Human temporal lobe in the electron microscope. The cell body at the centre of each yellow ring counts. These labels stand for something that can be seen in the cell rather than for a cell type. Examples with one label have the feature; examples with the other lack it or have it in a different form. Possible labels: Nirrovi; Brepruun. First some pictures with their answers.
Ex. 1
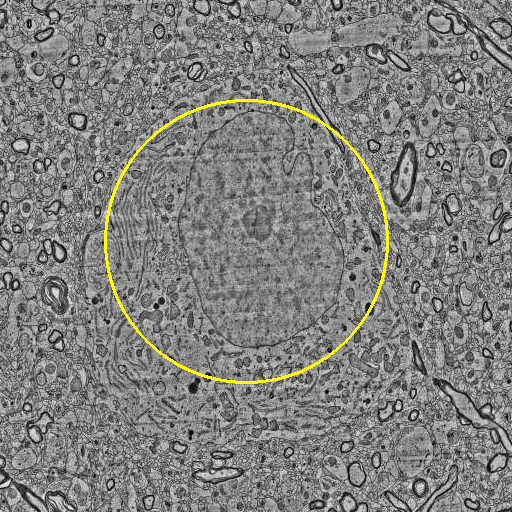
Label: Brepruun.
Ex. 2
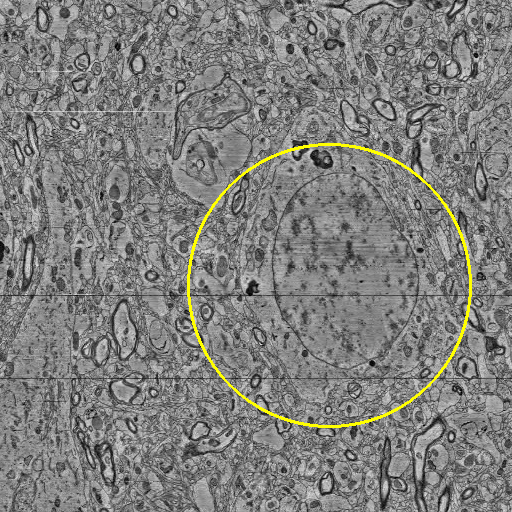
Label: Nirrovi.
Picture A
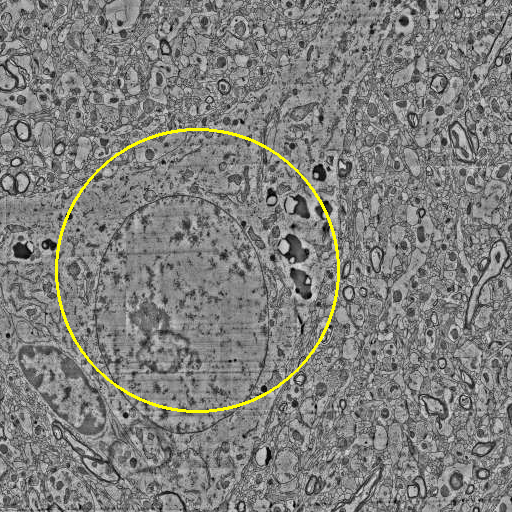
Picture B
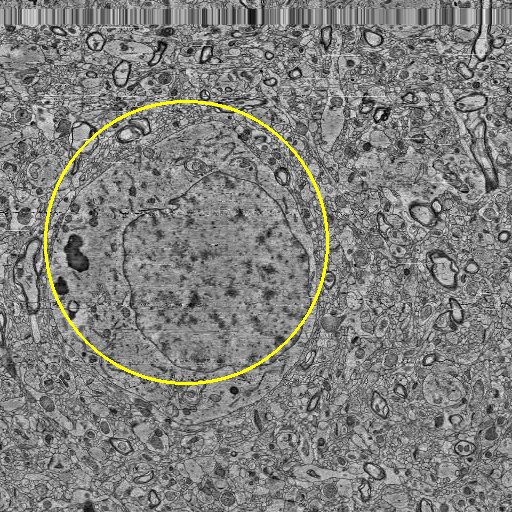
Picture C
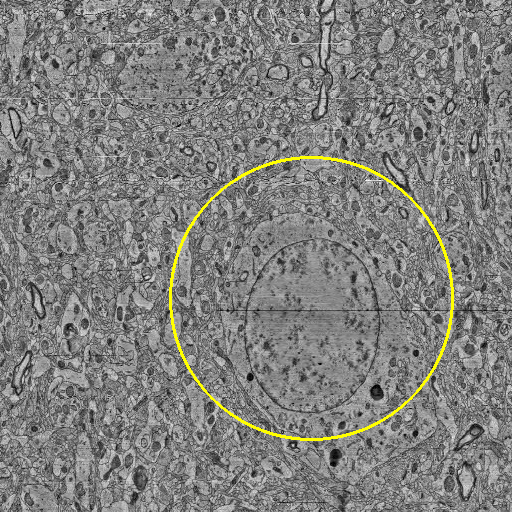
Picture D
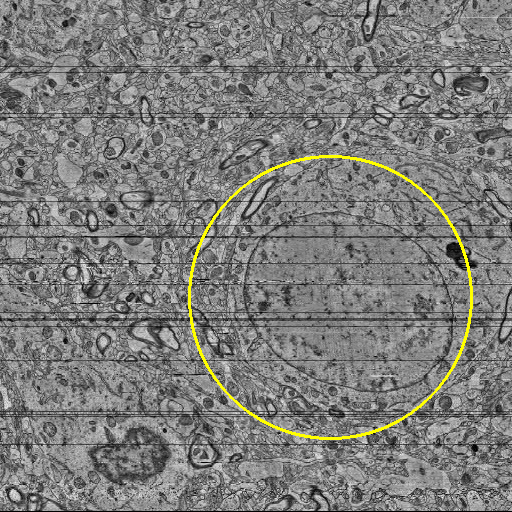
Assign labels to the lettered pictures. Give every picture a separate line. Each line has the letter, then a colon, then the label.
A: Nirrovi.
B: Brepruun.
C: Nirrovi.
D: Nirrovi.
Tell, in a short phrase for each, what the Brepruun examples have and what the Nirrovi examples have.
Seen in Brepruun: deeply folded or indented nuclear envelopes; seen in Nirrovi: smooth nuclear envelopes without deep folds.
